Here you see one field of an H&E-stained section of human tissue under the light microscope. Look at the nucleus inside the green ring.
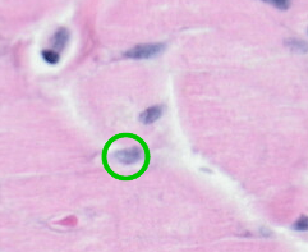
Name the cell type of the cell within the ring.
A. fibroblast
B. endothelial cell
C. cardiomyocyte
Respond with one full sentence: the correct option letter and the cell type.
With the cell within the ring being a fibroblast, option A is correct.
